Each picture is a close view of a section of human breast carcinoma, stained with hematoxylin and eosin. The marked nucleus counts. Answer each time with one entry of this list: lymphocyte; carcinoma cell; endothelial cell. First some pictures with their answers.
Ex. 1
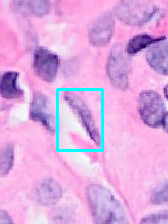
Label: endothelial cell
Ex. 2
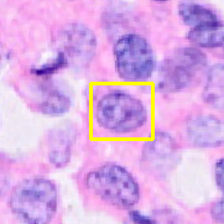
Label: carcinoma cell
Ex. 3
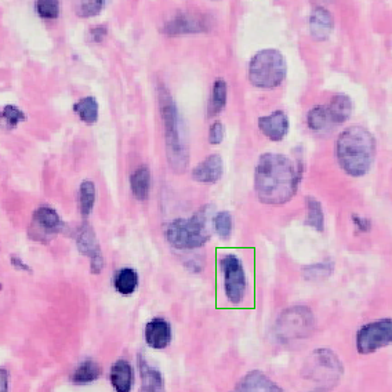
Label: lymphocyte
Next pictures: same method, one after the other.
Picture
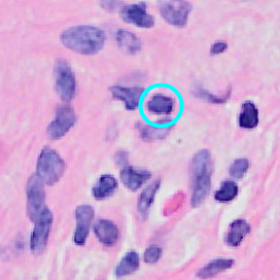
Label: lymphocyte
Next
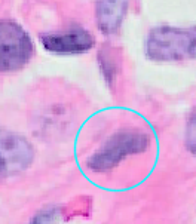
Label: endothelial cell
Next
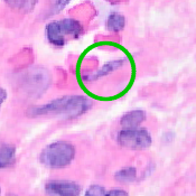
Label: endothelial cell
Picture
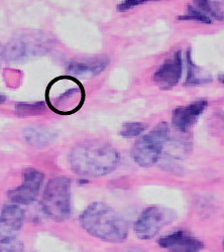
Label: endothelial cell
